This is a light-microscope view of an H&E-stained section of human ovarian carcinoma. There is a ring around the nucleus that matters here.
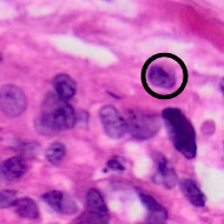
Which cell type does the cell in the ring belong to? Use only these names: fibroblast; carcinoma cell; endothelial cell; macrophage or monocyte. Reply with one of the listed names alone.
macrophage or monocyte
